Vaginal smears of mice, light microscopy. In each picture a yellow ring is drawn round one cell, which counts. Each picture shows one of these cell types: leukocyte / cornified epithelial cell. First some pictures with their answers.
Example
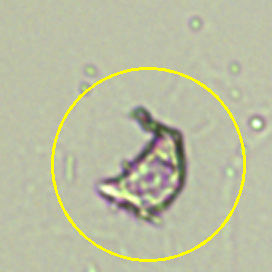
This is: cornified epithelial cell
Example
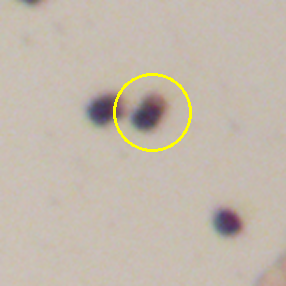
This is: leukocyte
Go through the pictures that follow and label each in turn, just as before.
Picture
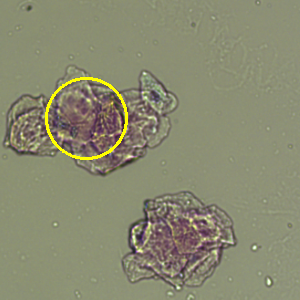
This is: cornified epithelial cell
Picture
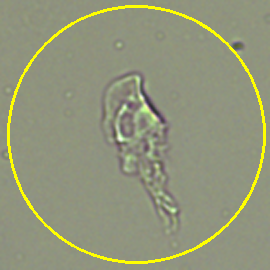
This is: cornified epithelial cell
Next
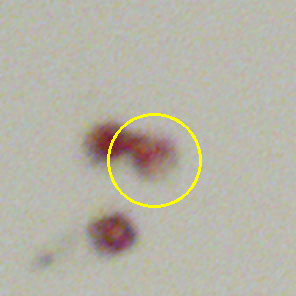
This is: leukocyte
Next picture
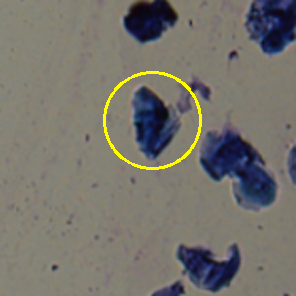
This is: cornified epithelial cell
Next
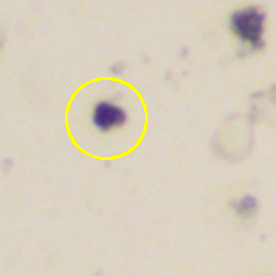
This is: leukocyte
